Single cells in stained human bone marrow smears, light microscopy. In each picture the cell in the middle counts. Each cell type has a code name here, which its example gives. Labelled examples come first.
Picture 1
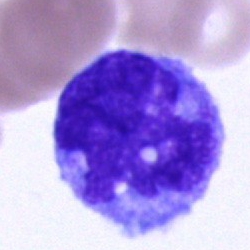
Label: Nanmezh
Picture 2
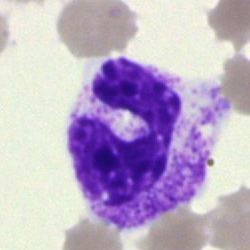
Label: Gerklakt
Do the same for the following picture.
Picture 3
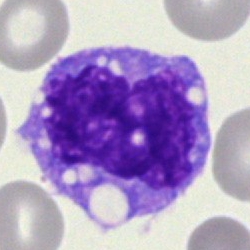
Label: Nanmezh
